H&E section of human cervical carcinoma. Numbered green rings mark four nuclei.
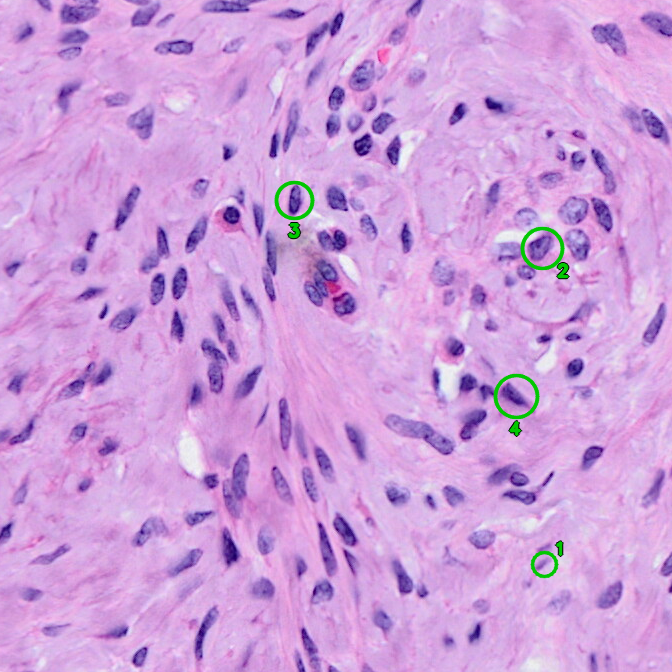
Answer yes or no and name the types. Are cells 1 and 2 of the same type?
No, cell 1 is a fibroblast and cell 2 is an endothelial cell.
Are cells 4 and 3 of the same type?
Yes, both are fibroblasts.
